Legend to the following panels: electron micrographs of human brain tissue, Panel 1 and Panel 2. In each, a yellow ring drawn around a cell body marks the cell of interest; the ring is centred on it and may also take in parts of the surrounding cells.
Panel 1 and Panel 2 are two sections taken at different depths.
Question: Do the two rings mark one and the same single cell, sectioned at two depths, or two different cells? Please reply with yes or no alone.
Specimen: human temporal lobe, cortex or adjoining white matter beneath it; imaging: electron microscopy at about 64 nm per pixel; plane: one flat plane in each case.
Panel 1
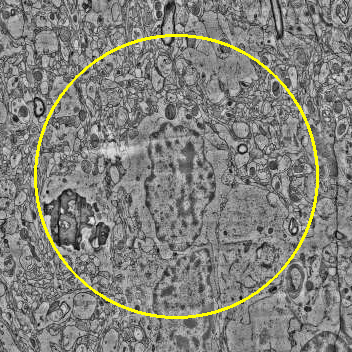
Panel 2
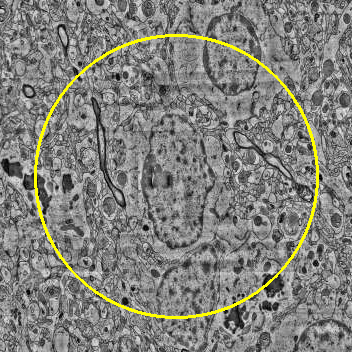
yes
